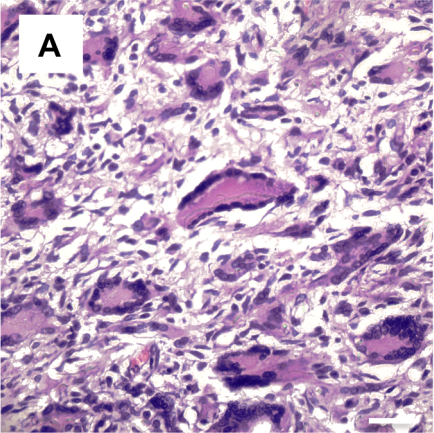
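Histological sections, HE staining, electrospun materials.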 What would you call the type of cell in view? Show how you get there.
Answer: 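Several large pink cells with clustered dark nuclei at their margins. They lie scattered in loose tissue with many small spindle-shaped nuclei. On this evidence: Foreign body giant cells.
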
